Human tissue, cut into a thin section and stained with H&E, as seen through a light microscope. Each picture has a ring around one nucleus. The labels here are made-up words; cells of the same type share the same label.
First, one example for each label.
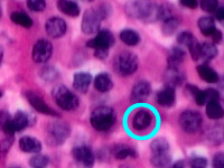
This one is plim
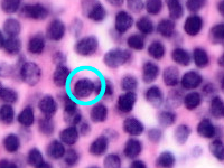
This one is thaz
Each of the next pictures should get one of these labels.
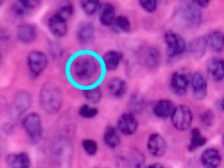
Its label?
plim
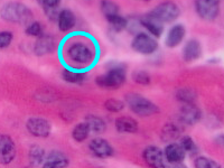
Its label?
plim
